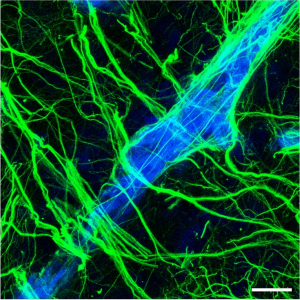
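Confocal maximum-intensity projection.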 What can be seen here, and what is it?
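The vessel runs as a broad tubular band diagonally across the field, shown by diffuse blue fluorescence. Numerous long, thin green processes run along its surface, many of them gathered into parallel bundles that follow the vessel. Other green processes cross the surrounding tissue in various directions, some branching and varying in thickness. No distinct cell bodies are clearly made out among the fibres.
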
